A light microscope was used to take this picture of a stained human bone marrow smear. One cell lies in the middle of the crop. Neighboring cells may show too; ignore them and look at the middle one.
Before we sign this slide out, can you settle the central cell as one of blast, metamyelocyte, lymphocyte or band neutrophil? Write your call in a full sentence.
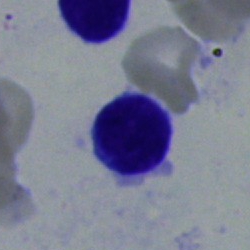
The cell under consideration, at the middle of the crop, is a lymphocyte.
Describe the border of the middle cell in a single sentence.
As for its outline, the cell is irregular, ragged or drawn into projections.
